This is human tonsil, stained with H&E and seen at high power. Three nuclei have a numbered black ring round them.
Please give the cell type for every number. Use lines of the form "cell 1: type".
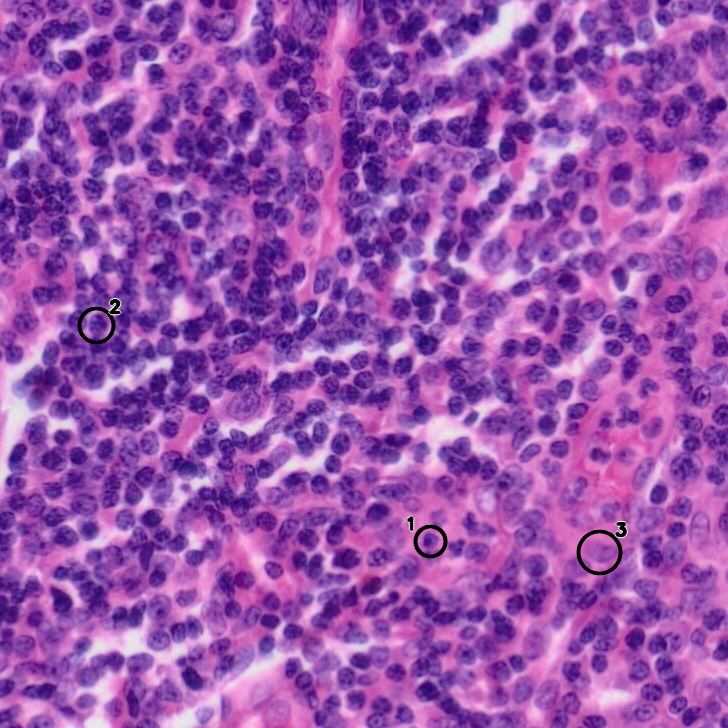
cell 1: endothelial cell
cell 2: small lymphocyte
cell 3: endothelial cell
